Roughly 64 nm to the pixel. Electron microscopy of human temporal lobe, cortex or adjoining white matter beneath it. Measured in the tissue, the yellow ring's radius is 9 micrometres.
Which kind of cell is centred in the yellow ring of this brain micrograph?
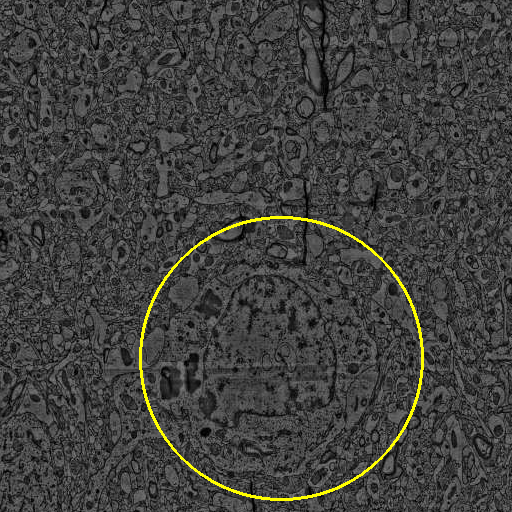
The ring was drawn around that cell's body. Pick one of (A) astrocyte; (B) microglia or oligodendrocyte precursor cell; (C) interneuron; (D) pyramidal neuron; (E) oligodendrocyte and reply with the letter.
C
